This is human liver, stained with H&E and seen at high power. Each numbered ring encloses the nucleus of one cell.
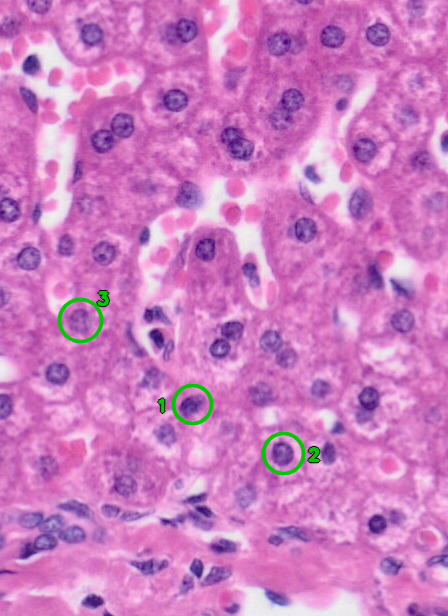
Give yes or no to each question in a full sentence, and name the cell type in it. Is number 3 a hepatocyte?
Yes, the cell carrying number 3 is a hepatocyte.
